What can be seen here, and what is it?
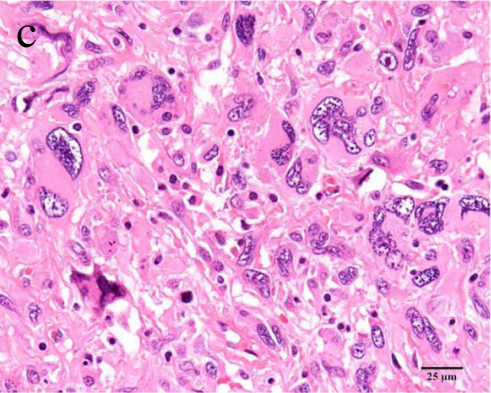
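The cells are big and polygonal with abundant dense pink cytoplasm and poorly defined borders. Their nuclei vary strongly in size and shape: some are huge, folded or lobulated, others multiple within one cell, with coarse clumped purple chromatin and prominent nucleoli. One very dark, irregular hyperchromatic nucleus lies at lower left. Between the large cells lie smaller cells with round dark nuclei and a loose, pale pink stroma with clear spaces. There is no orderly arrangement; the cells lie haphazardly.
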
